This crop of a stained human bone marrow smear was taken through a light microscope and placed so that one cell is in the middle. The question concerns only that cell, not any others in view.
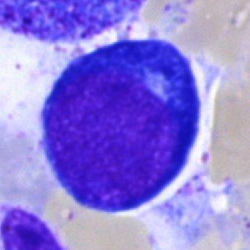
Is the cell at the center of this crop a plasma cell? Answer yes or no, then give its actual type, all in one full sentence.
No, instead of a plasma cell, the centred cell represents a proerythroblast.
